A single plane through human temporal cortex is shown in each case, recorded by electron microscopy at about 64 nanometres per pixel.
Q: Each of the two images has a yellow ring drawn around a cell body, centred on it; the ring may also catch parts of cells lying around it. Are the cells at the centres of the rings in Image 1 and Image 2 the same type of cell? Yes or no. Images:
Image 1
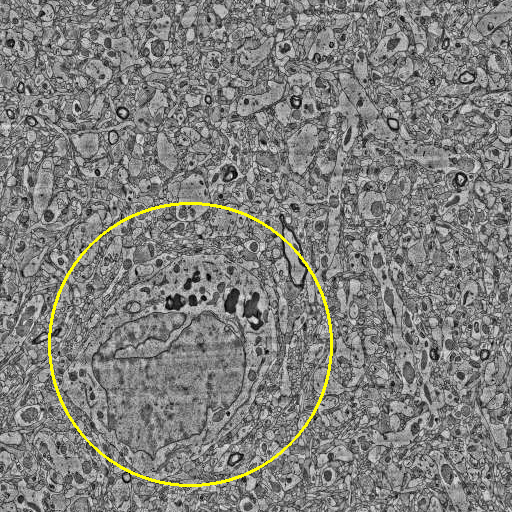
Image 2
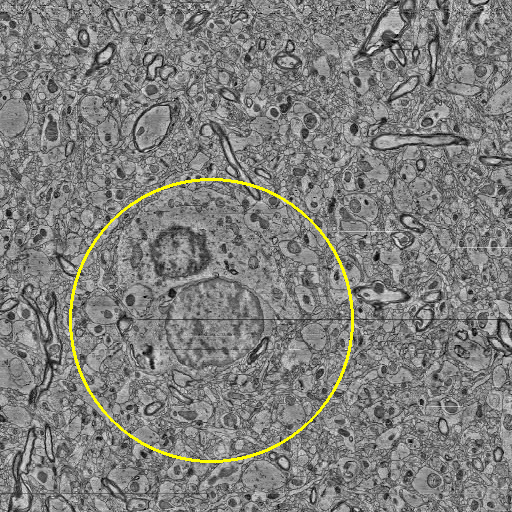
no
